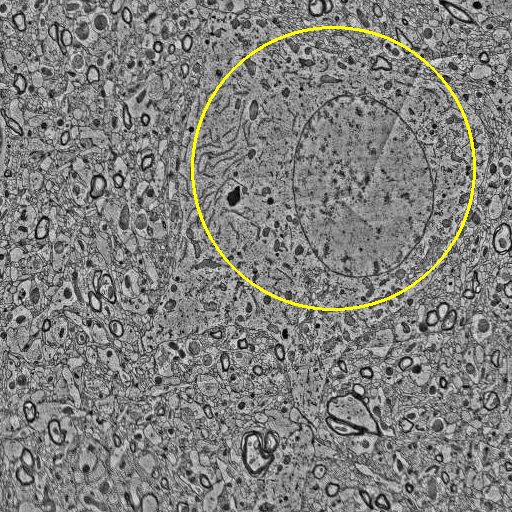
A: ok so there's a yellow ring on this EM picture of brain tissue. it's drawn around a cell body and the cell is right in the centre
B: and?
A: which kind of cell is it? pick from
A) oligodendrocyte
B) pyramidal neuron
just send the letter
B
